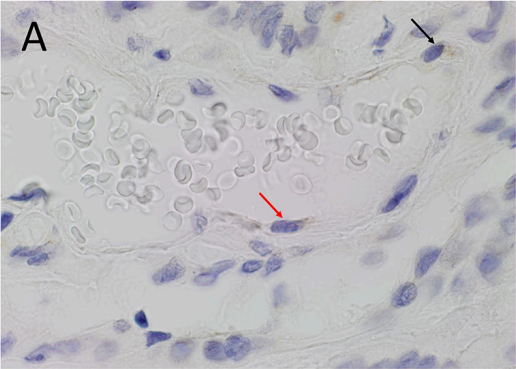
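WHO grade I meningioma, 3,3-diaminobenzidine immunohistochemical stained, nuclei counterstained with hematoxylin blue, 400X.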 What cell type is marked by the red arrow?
Endothelial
